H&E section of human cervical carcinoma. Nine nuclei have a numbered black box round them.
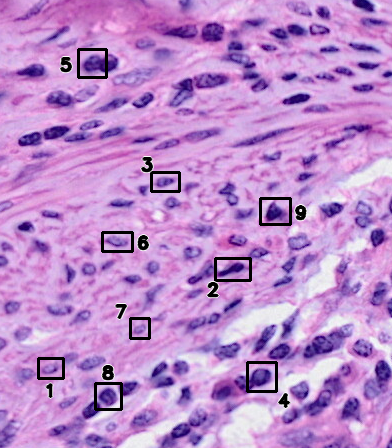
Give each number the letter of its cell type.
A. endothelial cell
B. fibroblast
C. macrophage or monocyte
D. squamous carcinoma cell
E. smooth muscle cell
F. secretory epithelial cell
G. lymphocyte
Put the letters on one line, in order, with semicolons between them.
E; G; B; G; G; E; E; G; G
